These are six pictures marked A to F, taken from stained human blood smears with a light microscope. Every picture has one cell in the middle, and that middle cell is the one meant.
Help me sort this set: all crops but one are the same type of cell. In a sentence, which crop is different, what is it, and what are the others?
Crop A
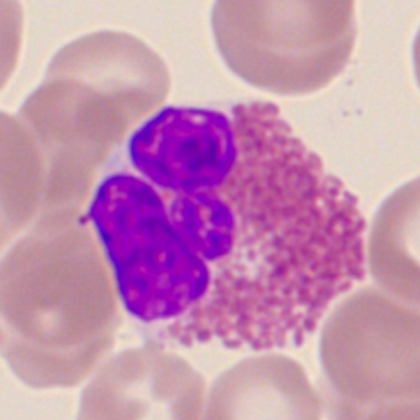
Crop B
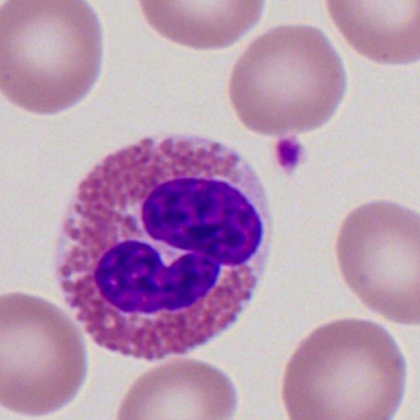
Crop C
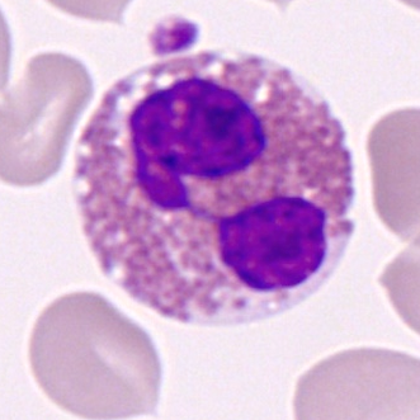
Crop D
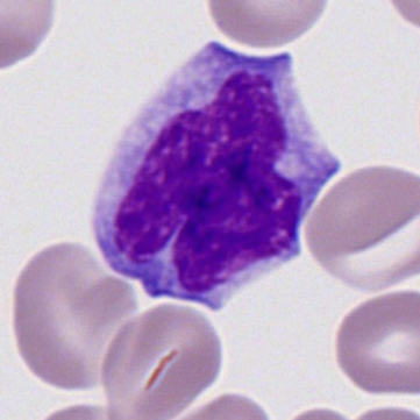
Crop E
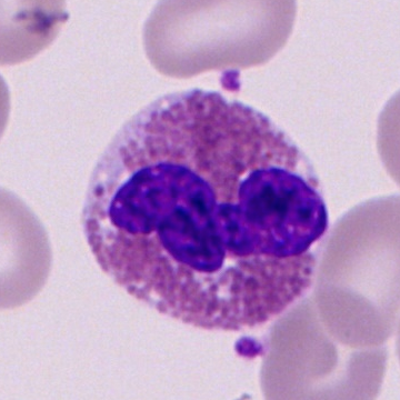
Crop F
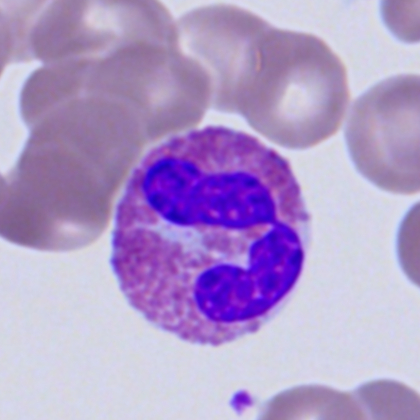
Crop D does not fit, being a monocyte where all the others show eosinophils.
